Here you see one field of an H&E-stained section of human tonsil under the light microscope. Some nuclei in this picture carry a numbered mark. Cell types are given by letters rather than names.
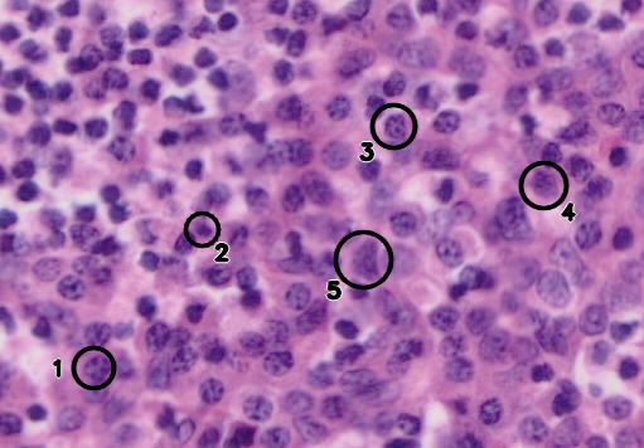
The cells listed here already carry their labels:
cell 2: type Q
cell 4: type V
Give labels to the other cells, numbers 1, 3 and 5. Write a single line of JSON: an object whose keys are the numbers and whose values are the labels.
{"1": "type Q", "3": "type Q", "5": "type V"}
